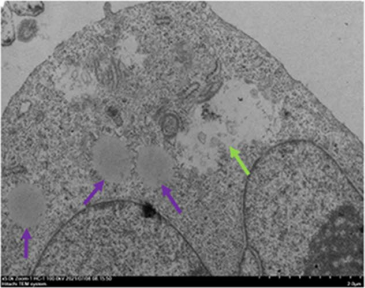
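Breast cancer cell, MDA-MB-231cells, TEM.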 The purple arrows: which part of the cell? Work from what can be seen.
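Lipids. The arrows point to round, homogeneous grey bodies without an inner structure. These bodies lie in the cytoplasm next to the nuclear envelope.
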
